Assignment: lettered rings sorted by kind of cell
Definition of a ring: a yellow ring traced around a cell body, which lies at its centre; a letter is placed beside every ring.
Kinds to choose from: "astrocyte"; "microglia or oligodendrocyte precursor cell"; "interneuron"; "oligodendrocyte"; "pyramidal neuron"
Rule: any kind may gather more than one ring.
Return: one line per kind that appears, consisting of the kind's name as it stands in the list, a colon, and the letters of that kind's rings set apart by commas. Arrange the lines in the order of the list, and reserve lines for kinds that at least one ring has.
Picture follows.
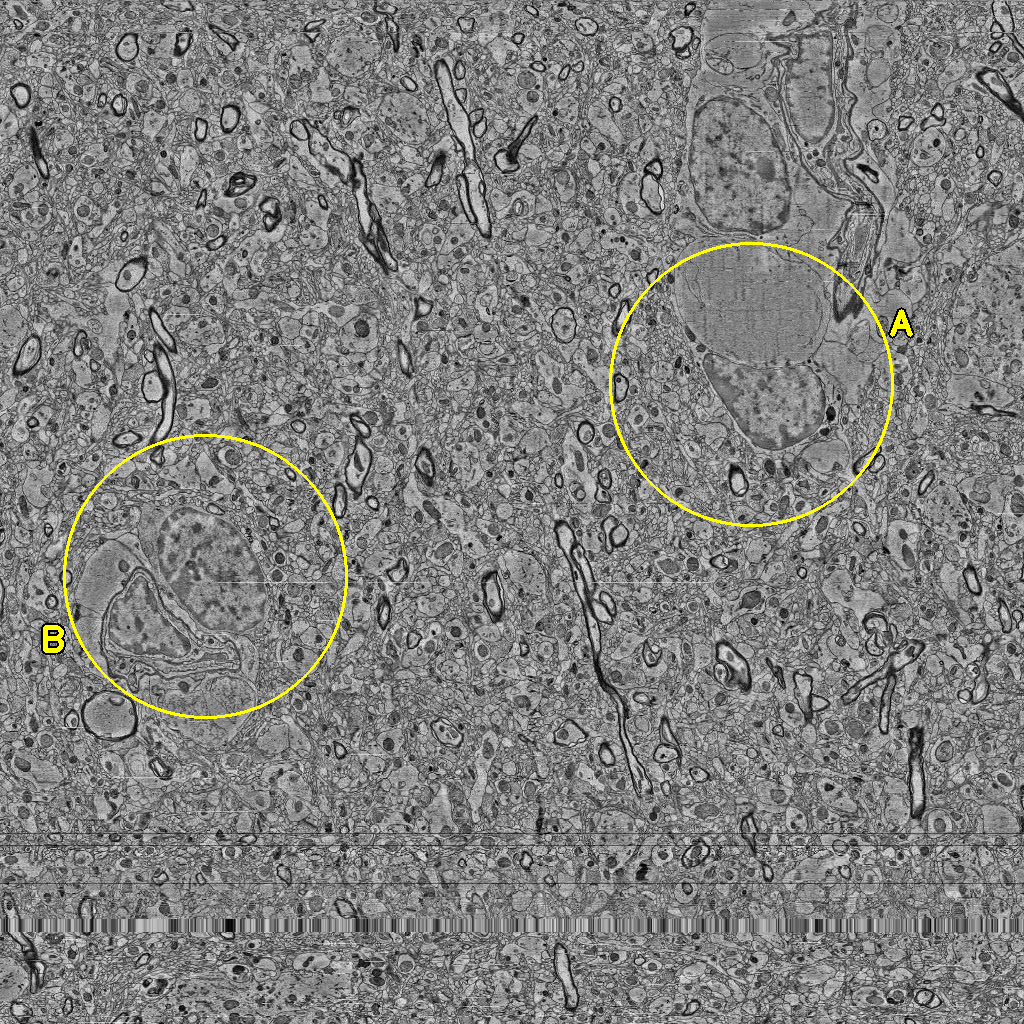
microglia or oligodendrocyte precursor cell: A
oligodendrocyte: B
